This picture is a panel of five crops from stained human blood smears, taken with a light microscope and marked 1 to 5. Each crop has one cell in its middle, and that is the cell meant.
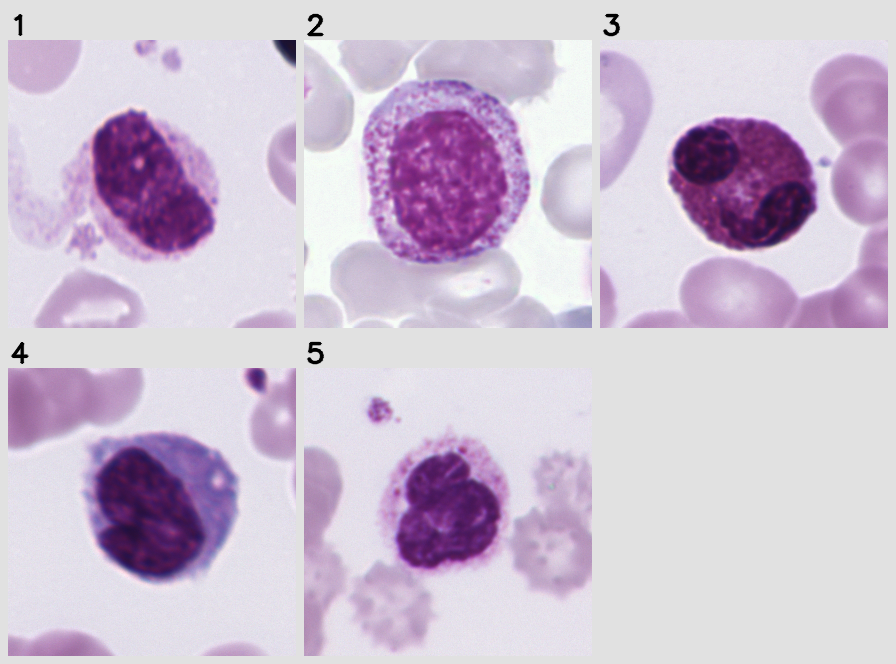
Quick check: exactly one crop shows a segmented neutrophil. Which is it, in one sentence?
Crop 5 is identified as the crop showing a segmented neutrophil.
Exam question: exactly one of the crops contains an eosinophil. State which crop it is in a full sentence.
Crop 3 is the crop whose central cell is an eosinophil.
